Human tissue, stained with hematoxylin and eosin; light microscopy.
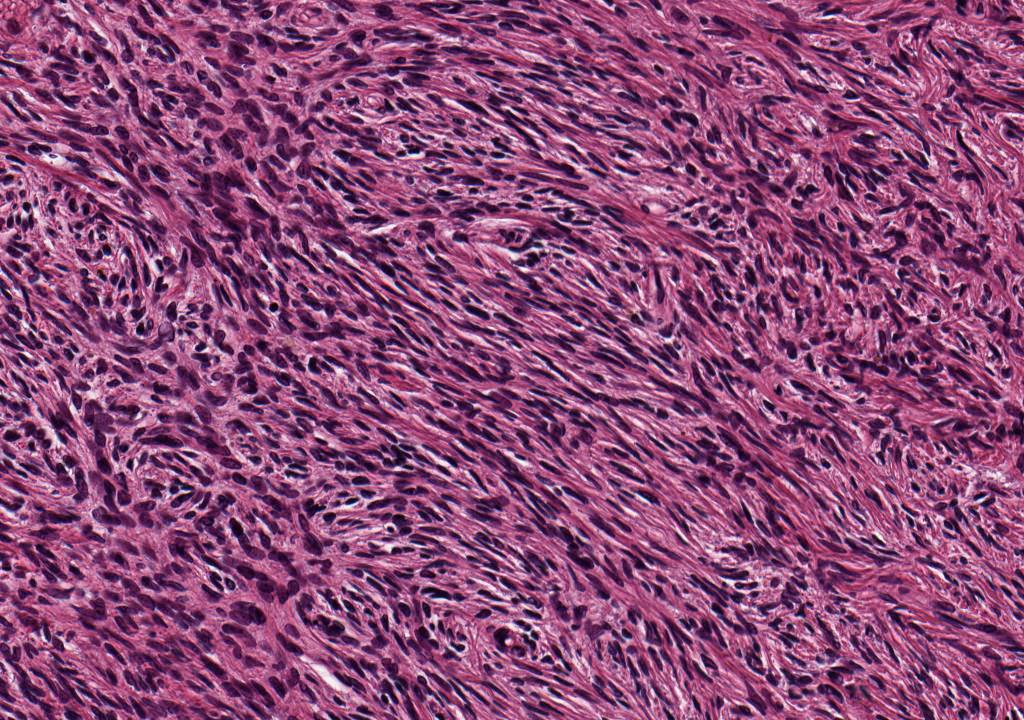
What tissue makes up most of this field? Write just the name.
ovarian cortex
